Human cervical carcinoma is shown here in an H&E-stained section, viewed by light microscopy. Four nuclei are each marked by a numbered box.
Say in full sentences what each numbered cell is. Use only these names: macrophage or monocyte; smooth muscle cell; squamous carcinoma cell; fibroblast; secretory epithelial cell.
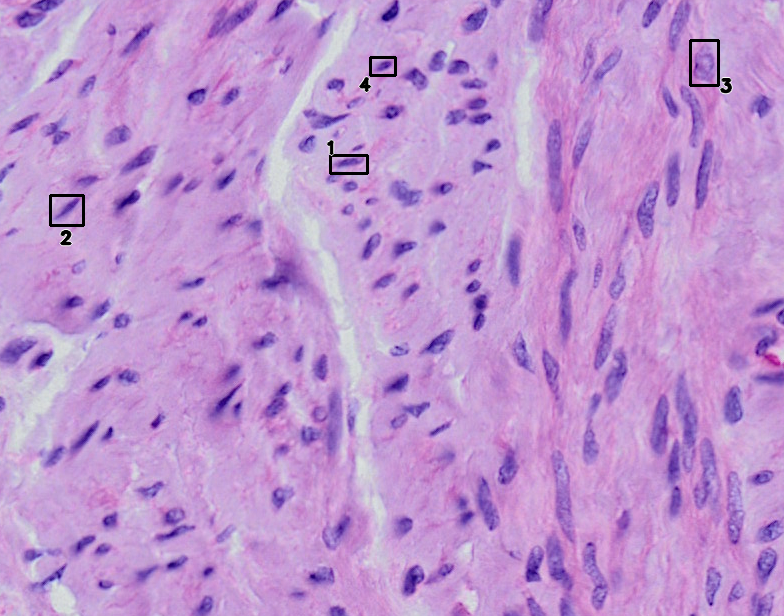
Cells 1, 3 and 4 are smooth muscle cells. Cell 2 is a fibroblast.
